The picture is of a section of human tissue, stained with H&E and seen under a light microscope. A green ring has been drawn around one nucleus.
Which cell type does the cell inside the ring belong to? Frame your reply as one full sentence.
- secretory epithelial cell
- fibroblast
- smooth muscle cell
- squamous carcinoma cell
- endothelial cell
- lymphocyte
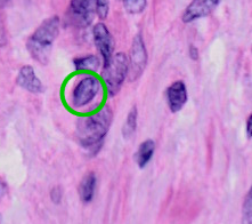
In cellular terms, the cell inside the ring is an endothelial cell.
